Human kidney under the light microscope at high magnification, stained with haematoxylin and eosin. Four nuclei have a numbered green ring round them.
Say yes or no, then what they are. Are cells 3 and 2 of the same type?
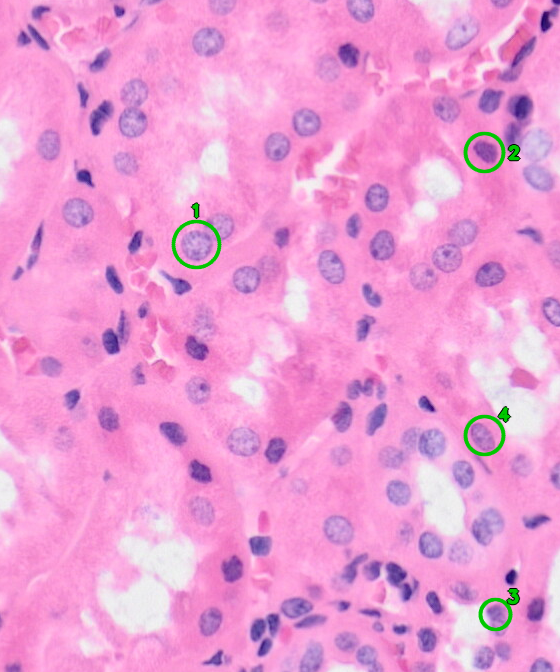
No, the cell tagged 3 is a loop of Henle or distal tubule cell, whereas the cell tagged 2 is a proximal tubule cell.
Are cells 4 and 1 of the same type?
Yes, along with cell 4, cell 1 is also among the proximal tubule cells.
